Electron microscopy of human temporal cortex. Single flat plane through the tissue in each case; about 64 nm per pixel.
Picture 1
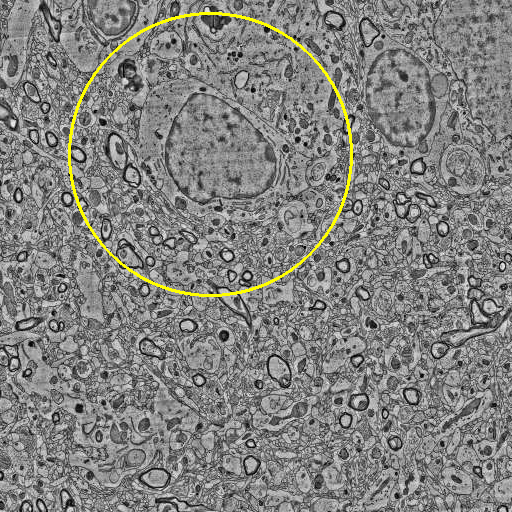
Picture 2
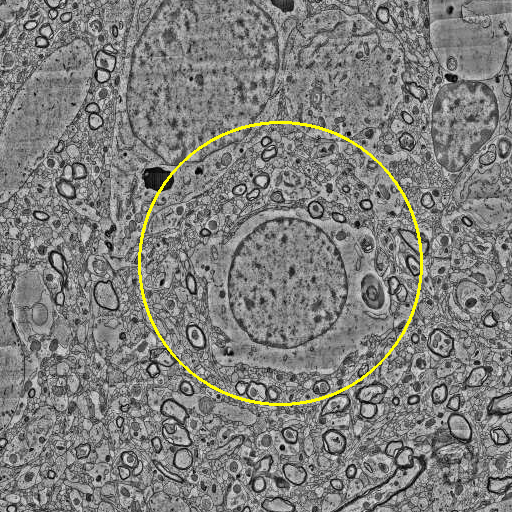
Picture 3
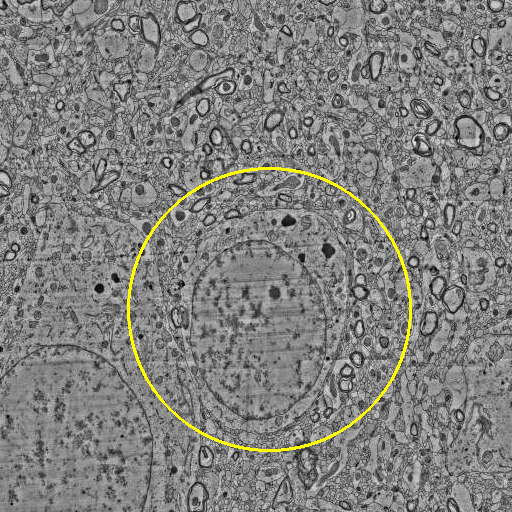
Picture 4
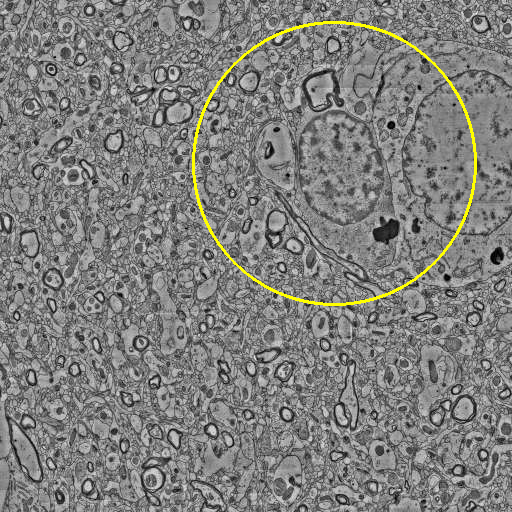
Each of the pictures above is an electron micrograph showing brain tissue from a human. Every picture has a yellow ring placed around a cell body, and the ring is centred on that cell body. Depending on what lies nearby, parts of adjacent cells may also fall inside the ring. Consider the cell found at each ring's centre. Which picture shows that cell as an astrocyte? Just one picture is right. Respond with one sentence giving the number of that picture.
The picture showing the wanted cell at the ring's centre is number 2.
